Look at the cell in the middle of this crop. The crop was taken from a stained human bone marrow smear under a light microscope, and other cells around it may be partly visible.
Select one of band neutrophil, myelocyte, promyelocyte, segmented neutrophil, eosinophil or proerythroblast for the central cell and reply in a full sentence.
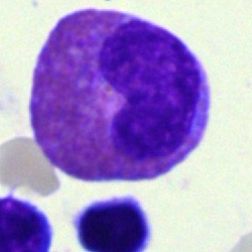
Classified as an eosinophil is the cell in the middle of this crop.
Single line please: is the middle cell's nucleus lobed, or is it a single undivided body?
Worth pointing out that its nucleus is one compact mass, round, oval or reniform.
